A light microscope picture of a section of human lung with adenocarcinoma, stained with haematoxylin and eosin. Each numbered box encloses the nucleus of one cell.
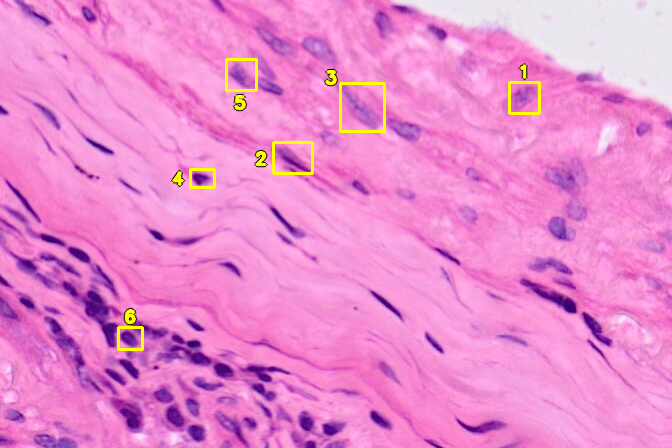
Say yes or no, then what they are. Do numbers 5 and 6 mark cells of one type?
No, cell 5 is a smooth muscle cell or pericyte, and cell 6 is, by contrast, a lymphocyte.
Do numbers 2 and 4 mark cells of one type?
No, cell 2 should be called a smooth muscle cell or pericyte, and cell 4 should be called a mast cell.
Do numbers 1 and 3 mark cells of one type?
Yes, the cell labelled 1 and the cell labelled 3 are both smooth muscle cells or pericytes.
